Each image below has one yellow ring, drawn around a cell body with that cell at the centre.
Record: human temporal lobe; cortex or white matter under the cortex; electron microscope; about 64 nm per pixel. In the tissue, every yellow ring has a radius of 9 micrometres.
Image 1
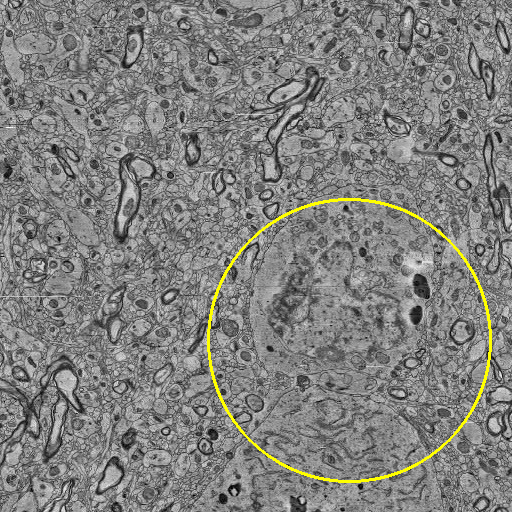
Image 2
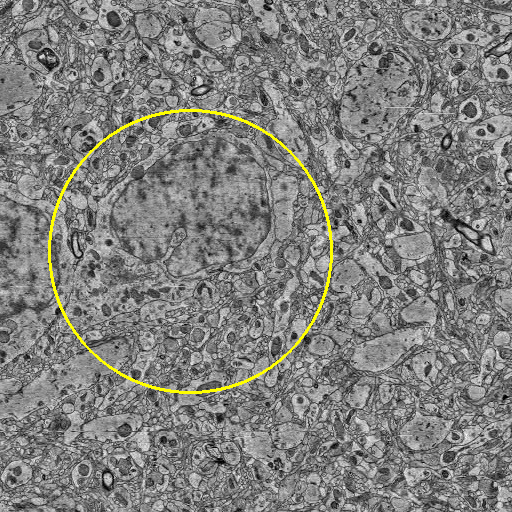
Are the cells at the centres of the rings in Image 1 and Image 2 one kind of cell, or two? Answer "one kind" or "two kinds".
one kind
